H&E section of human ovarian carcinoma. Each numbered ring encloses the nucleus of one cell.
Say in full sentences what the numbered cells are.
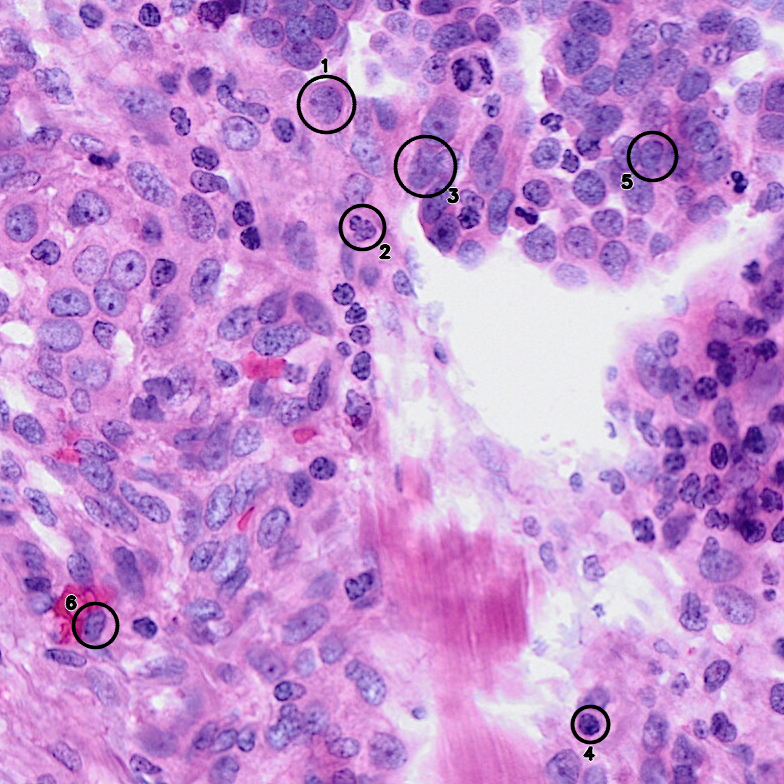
Cells 1, 3 and 5 are carcinoma cells. Cells 2 and 4 are lymphocytes. Cell 6 is an endothelial cell.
